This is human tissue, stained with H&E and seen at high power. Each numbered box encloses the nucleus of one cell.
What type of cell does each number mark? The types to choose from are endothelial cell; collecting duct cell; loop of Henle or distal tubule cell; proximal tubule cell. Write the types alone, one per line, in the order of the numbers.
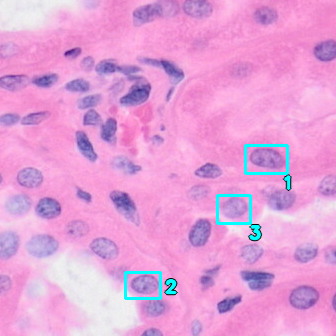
proximal tubule cell
loop of Henle or distal tubule cell
loop of Henle or distal tubule cell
